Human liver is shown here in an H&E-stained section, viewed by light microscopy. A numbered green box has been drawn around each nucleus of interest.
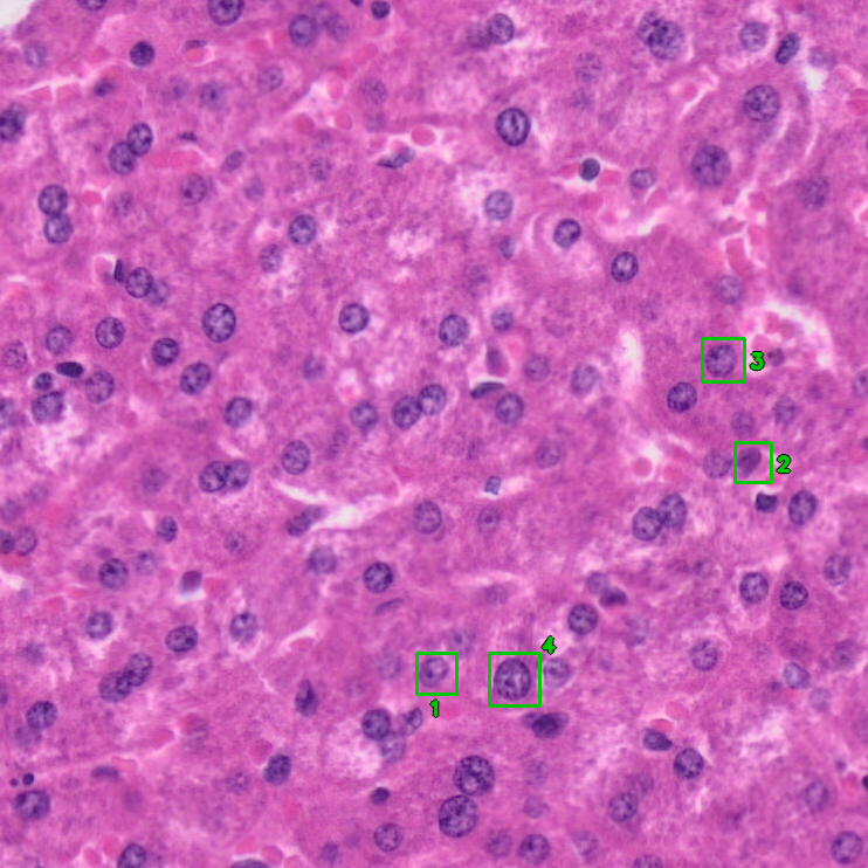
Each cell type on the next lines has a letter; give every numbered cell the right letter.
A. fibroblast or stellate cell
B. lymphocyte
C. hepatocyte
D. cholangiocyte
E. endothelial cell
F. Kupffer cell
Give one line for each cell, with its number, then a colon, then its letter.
1: C
2: E
3: C
4: C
